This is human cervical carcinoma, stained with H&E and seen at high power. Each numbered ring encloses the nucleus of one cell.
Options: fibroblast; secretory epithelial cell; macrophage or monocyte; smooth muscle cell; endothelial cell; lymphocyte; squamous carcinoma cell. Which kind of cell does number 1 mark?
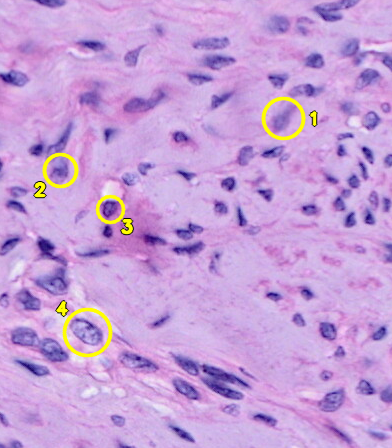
smooth muscle cell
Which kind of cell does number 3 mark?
endothelial cell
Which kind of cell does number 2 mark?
smooth muscle cell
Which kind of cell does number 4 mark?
endothelial cell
